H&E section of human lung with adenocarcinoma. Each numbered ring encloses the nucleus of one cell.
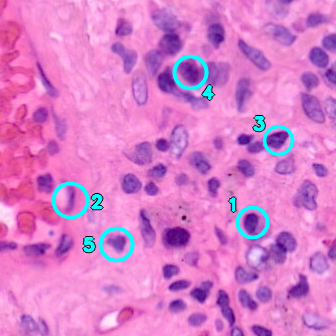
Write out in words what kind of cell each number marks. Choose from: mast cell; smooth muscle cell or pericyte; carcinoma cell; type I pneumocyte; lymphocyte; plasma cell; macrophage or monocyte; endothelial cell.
Cell 1 is a lymphocyte, cell 2 is an endothelial cell, cell 3 is a lymphocyte, cell 4 is a plasma cell and cell 5 is a lymphocyte.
